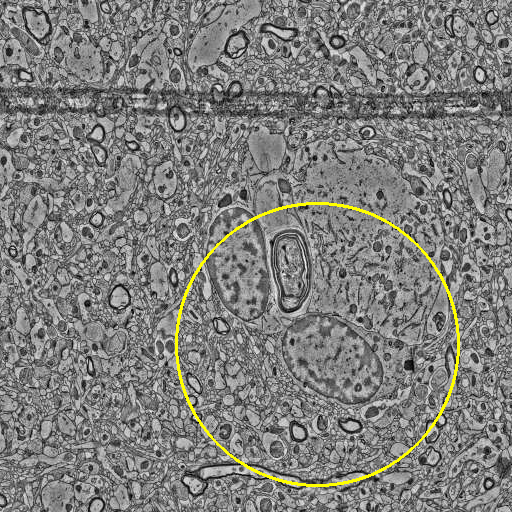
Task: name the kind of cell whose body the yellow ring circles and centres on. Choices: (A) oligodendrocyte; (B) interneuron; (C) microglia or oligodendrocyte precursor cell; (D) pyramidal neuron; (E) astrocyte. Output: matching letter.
A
